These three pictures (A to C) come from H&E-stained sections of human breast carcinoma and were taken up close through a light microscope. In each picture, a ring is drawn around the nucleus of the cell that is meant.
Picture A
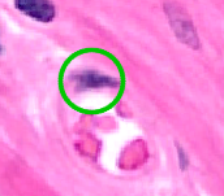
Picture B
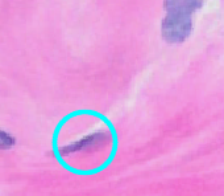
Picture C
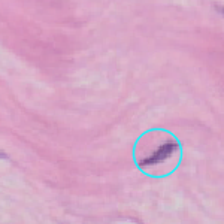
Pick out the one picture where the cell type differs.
A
